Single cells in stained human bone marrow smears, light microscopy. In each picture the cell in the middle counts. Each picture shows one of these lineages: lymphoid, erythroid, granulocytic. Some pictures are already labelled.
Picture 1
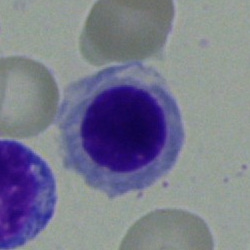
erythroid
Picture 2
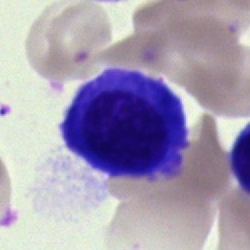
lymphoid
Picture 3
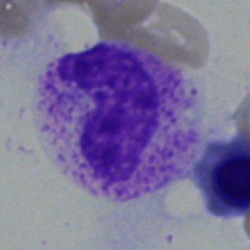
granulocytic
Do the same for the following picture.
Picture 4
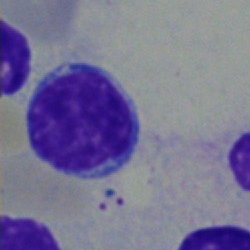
lymphoid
